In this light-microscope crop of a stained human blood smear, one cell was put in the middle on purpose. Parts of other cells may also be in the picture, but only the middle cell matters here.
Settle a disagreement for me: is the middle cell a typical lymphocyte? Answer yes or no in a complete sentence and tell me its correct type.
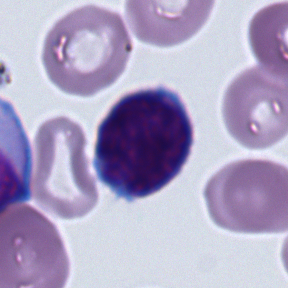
Yes, the cell at the middle of the frame is a typical lymphocyte.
